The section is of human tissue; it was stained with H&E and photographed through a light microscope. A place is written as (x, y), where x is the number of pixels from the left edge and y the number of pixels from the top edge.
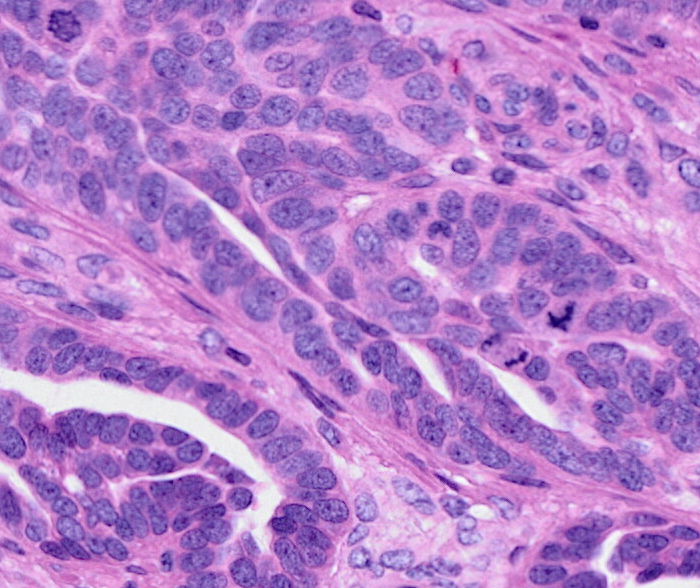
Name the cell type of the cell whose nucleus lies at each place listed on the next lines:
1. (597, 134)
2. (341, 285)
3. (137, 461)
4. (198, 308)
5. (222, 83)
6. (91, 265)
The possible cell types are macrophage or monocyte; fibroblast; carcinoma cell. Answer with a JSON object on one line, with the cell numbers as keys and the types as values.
{"1": "fibroblast", "2": "carcinoma cell", "3": "carcinoma cell", "4": "fibroblast", "5": "carcinoma cell", "6": "fibroblast"}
